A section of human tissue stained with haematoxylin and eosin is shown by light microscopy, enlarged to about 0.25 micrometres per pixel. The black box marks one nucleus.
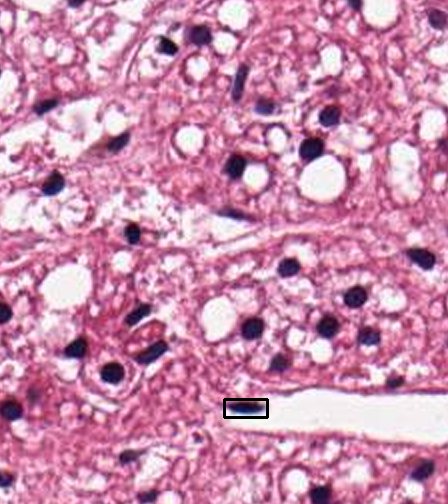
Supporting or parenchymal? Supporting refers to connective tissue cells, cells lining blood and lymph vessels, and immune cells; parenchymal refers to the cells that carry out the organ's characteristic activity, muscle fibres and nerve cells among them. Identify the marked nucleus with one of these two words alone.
supporting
